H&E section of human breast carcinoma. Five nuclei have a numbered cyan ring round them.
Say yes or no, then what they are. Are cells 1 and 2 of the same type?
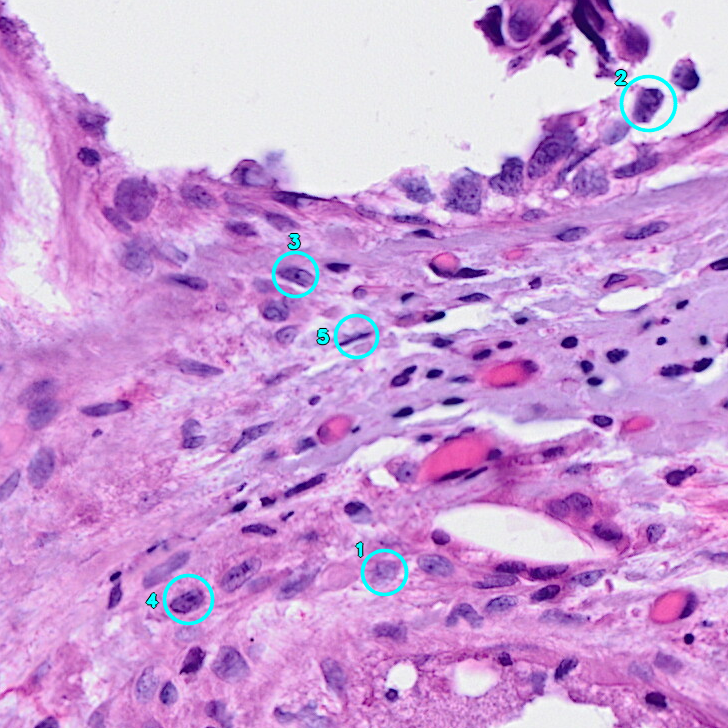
No, what is marked as cell 1 is a fibroblast, and what is marked as cell 2 is a carcinoma cell.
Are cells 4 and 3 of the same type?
No, unlike cell 3, which is a fibroblast, cell 4 is a macrophage, monocyte or dendritic cell.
